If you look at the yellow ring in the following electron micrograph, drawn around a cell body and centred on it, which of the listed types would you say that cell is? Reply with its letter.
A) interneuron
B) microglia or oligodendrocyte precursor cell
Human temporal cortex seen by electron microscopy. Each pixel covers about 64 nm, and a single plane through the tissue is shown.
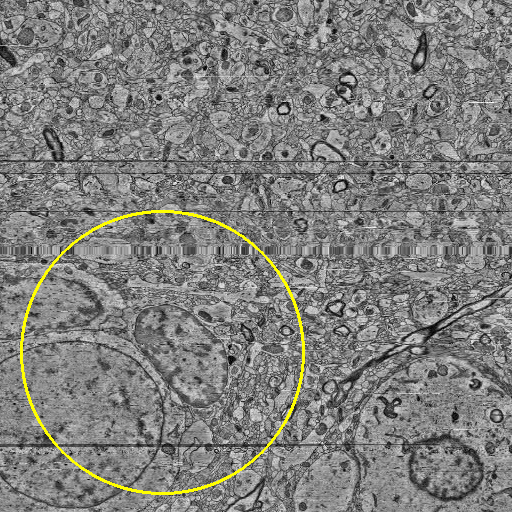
B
